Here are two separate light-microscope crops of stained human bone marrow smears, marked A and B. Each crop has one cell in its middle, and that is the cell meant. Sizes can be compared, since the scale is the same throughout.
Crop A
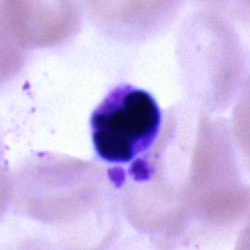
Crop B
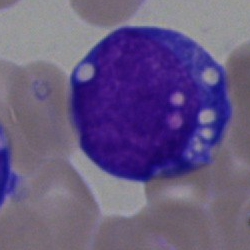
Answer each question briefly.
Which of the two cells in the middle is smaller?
A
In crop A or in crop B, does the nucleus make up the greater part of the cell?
B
